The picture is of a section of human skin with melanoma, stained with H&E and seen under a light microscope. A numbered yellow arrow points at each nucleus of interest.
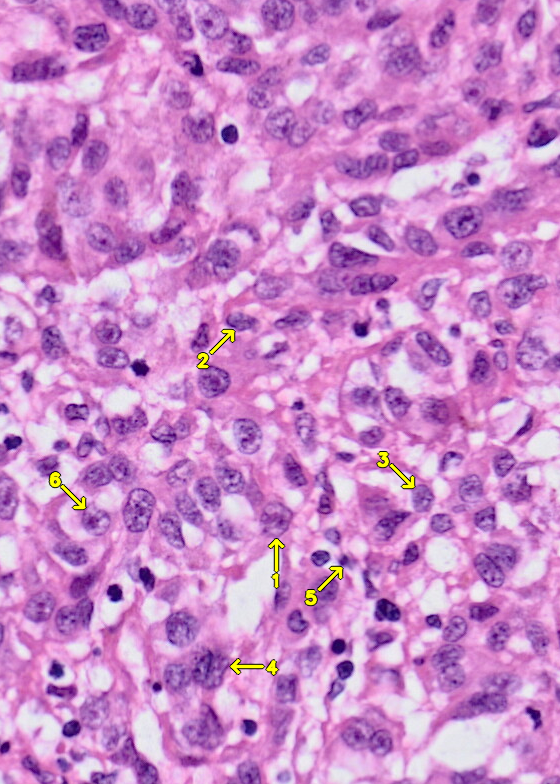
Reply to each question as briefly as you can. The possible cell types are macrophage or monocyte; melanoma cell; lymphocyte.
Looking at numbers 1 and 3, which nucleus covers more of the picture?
1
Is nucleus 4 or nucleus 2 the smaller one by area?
2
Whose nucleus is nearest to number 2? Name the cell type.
melanoma cell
